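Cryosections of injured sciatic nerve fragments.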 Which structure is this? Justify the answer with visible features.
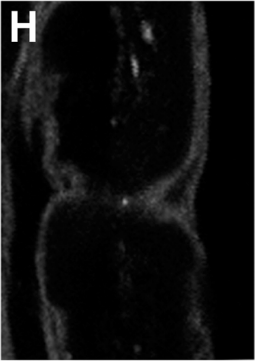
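Outlining lines of the fibre converge to a narrow constriction in the middle. The fibre widens again above and below the constriction. So: nodes of Ranvier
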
